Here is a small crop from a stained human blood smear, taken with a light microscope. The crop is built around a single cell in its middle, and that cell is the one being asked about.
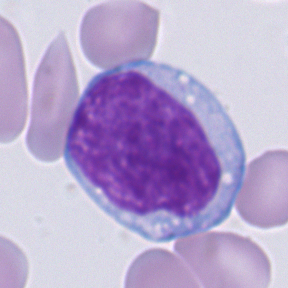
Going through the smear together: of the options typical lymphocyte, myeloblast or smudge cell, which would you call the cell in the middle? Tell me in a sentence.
In the center of this field lies a myeloblast.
